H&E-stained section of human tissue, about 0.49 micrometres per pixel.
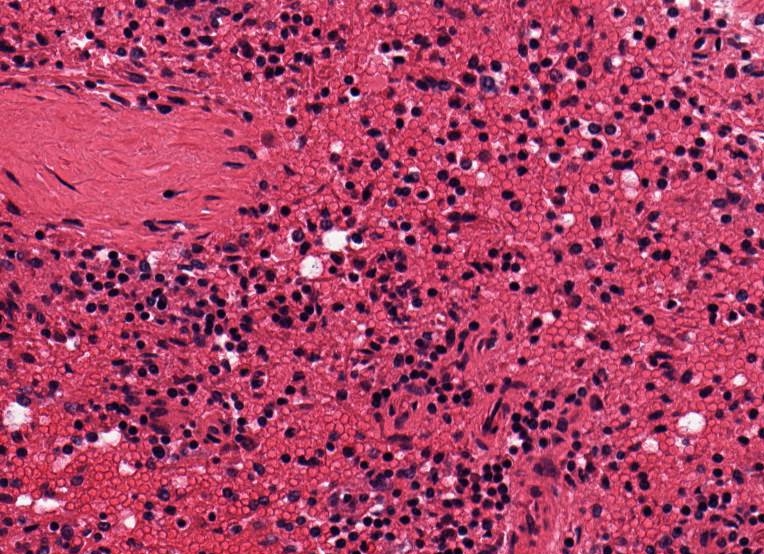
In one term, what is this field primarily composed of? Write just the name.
red pulp of the spleen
